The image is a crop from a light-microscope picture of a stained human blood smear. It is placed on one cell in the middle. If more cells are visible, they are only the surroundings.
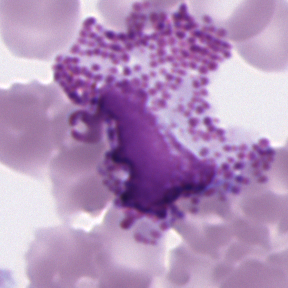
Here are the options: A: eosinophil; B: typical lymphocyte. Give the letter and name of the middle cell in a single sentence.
Option A is the right one, for the cell in the middle is an eosinophil.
